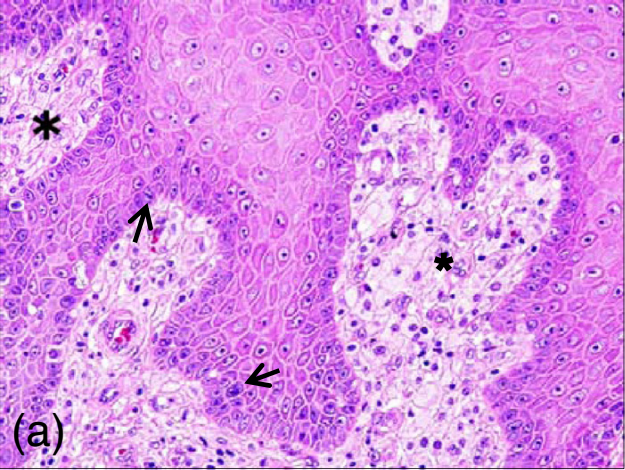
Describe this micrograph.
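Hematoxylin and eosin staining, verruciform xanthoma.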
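This is thickened stratified squamous epithelium whose pegs reach down between pale papillae of connective tissue packed with foamy cells. The foamy cells are large, with pale, bubbly cytoplasm and small round nuclei, and some small blood vessels lie among them. The epithelium shows a crowded, darker basal layer with purple nuclei that matures upward into larger pink polygonal cells with more abundant cytoplasm. A few dark, condensed nuclei near the basal layer are mitotic figures.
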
